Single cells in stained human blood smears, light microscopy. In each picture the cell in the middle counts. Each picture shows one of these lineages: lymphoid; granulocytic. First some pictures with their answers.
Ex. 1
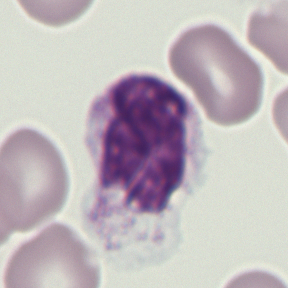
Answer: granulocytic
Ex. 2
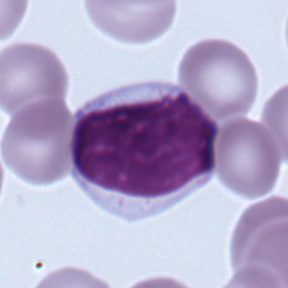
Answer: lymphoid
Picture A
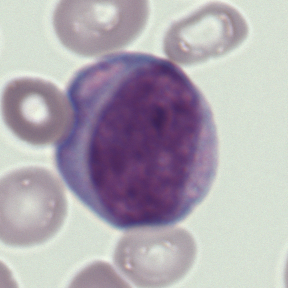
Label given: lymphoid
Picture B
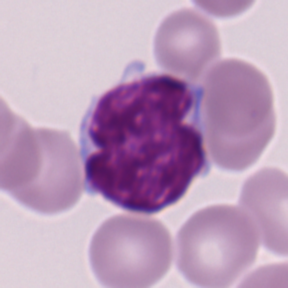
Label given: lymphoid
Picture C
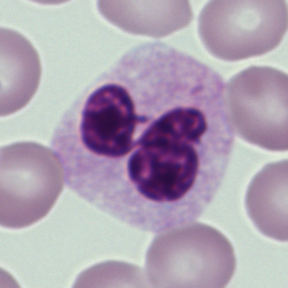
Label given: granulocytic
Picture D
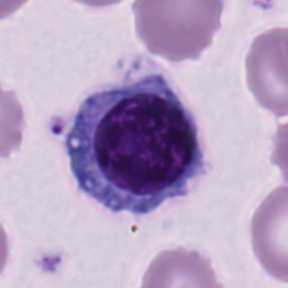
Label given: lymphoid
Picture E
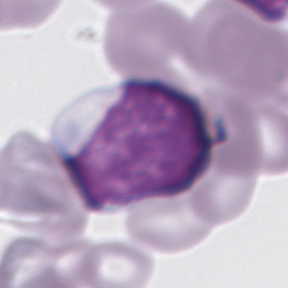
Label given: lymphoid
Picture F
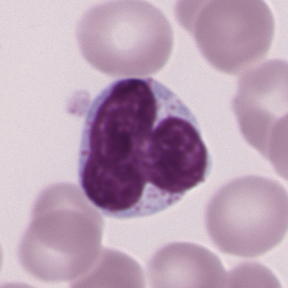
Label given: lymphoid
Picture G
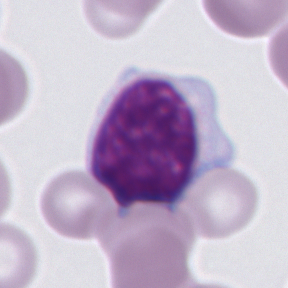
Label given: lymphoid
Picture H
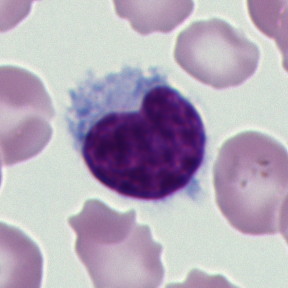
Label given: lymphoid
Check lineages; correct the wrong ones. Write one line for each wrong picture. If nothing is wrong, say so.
A should be granulocytic, not lymphoid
